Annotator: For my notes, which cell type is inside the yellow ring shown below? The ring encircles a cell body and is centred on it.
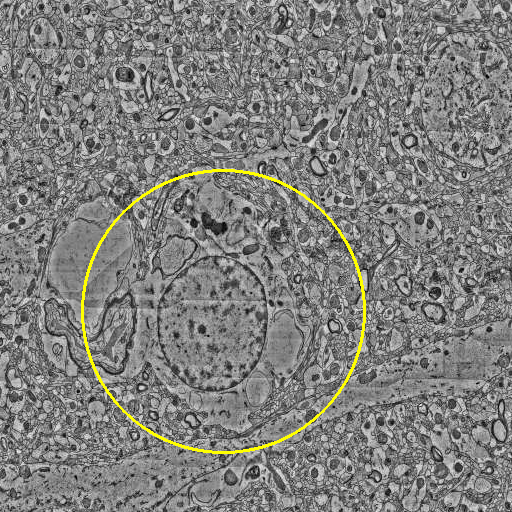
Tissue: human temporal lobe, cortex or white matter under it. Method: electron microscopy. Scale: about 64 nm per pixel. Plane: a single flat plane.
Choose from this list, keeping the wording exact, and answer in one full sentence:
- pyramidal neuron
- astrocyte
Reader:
At the centre of the yellow ring there is an astrocyte, as shown in the picture.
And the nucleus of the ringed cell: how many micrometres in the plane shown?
Approximately 9 x 7 micrometres in this plane.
